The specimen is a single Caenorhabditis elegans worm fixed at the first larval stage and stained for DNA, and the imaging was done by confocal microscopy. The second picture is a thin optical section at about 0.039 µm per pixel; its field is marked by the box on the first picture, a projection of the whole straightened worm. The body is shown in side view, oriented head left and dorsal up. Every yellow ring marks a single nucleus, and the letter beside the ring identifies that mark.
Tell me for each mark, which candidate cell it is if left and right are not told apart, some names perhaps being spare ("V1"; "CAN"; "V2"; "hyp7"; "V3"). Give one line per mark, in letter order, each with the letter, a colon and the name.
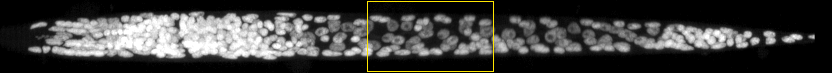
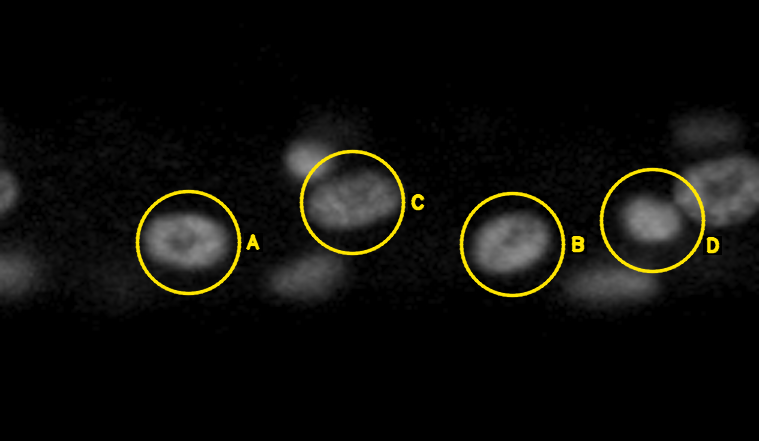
A: V2
B: V3
C: hyp7
D: CAN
